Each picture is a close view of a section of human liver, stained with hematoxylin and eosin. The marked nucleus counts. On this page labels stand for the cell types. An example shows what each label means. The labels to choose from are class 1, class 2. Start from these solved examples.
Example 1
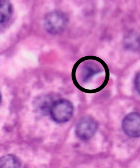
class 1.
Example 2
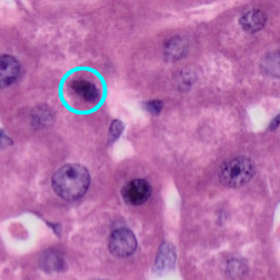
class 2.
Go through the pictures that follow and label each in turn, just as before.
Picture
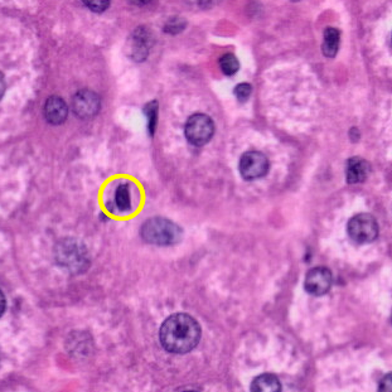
class 2.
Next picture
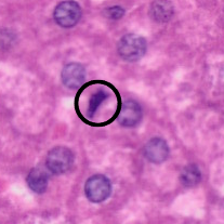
class 2.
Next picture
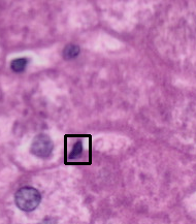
class 2.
